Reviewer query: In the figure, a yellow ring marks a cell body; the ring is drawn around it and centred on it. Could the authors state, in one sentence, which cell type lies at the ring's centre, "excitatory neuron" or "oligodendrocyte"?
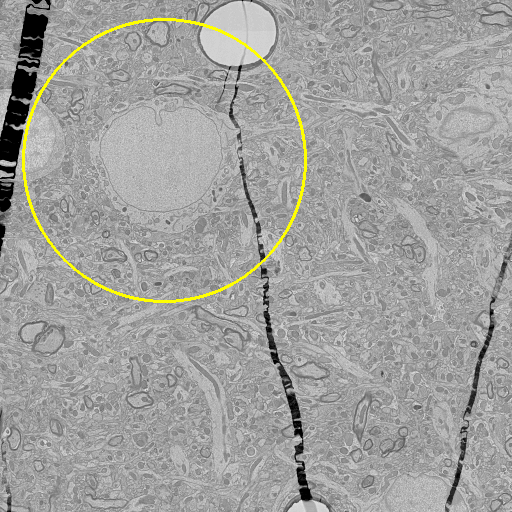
The ring is centred on an excitatory neuron.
